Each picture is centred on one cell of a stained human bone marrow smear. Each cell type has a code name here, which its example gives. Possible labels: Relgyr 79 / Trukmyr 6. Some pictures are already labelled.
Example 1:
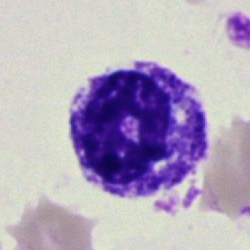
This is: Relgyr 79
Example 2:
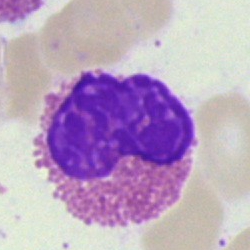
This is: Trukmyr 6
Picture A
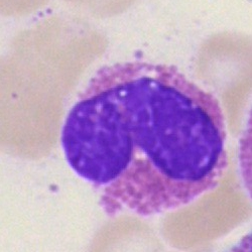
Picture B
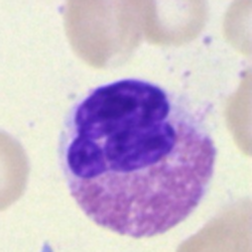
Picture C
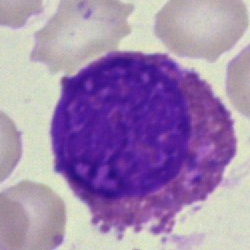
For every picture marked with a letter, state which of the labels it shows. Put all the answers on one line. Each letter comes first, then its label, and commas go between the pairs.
A Trukmyr 6, B Trukmyr 6, C Trukmyr 6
